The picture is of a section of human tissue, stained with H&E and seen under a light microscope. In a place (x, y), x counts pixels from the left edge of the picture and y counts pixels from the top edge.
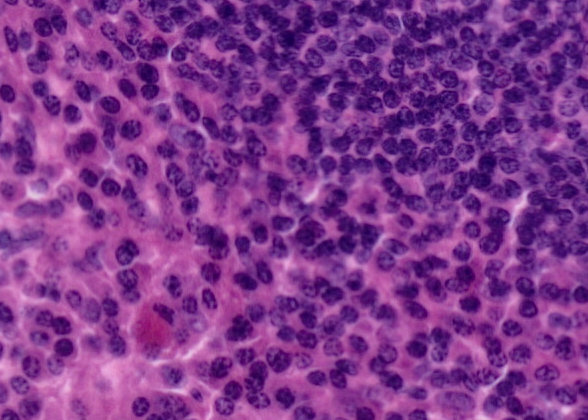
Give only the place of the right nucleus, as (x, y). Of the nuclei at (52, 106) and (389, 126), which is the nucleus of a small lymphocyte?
(389, 126)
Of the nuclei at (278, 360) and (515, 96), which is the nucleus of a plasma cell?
(278, 360)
